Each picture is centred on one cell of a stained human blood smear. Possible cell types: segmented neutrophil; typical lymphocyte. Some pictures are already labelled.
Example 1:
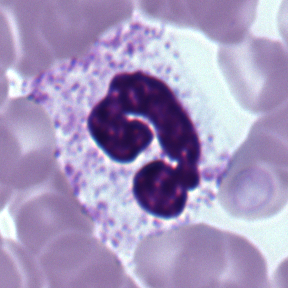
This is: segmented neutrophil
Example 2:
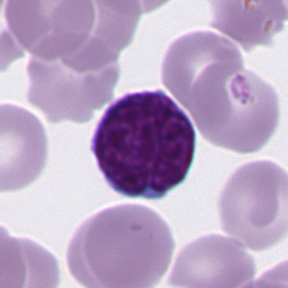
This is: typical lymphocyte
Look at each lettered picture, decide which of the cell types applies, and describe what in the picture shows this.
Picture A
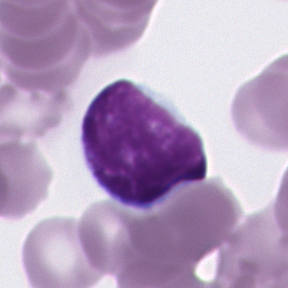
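typical lymphocyte. The cytoplasm is very scant, showing only as a thin rim mainly along the upper right edge.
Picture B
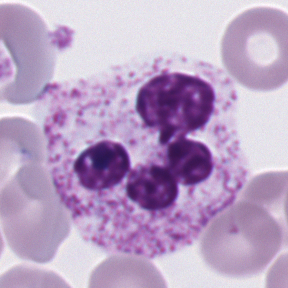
segmented neutrophil. The nucleus is divided into four separate lobes.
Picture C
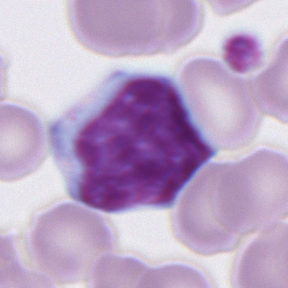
typical lymphocyte. The cytoplasm is scant, forming only a narrow rim beside the nucleus.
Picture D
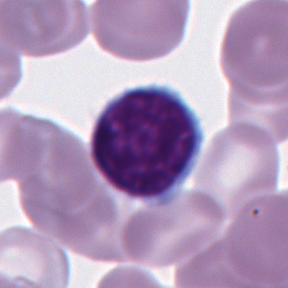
typical lymphocyte. The cytoplasm is only a very thin rim around the nucleus.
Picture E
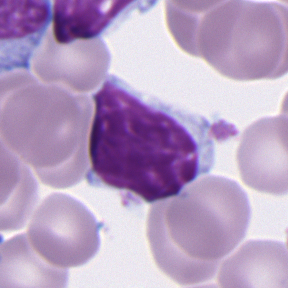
typical lymphocyte. The nucleus fills most of the cell.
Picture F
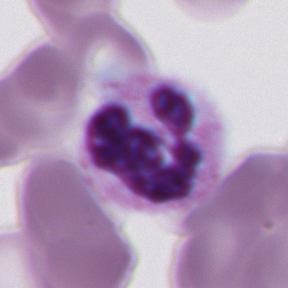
segmented neutrophil. The nucleus is divided into several separate lobes.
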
